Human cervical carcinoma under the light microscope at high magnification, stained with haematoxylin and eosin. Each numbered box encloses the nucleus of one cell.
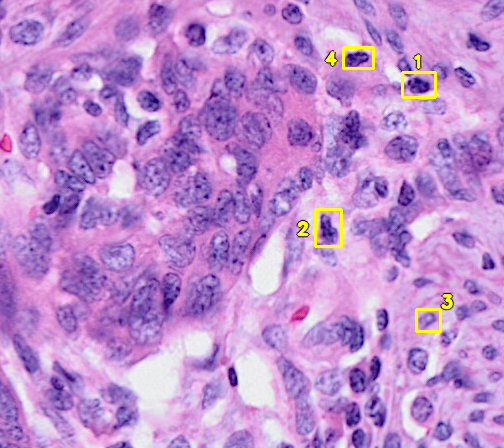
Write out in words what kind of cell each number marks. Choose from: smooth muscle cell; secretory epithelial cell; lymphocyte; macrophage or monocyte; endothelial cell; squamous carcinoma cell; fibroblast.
Cell 1 is a lymphocyte, cell 2 is a lymphocyte, cell 3 is a smooth muscle cell and cell 4 is a lymphocyte.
